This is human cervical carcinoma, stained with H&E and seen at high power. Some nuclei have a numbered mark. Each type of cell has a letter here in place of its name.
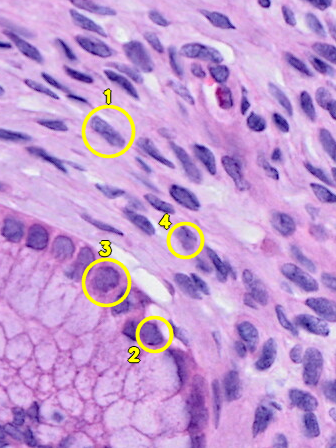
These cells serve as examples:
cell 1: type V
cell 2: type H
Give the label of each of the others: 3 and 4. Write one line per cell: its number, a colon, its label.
3: type H
4: type V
